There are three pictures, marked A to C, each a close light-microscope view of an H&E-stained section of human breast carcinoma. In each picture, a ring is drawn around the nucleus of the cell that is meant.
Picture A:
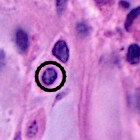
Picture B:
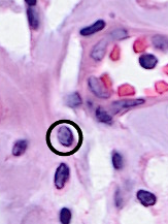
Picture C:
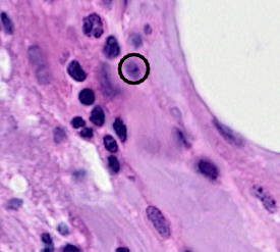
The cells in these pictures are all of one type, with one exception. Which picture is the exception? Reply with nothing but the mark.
B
